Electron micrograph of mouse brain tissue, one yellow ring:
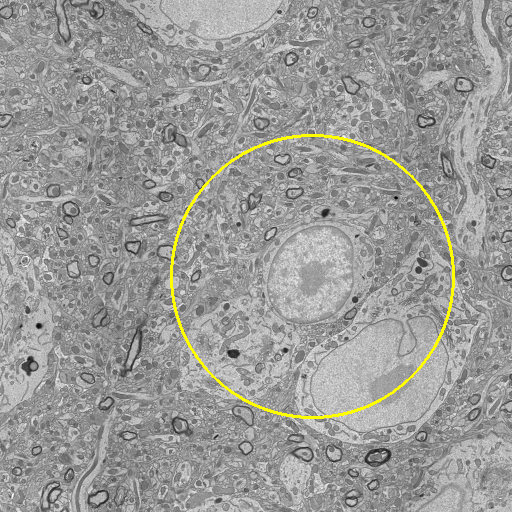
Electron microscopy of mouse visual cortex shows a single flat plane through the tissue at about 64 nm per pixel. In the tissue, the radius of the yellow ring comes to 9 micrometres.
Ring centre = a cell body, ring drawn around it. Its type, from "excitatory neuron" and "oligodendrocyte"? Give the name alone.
oligodendrocyte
